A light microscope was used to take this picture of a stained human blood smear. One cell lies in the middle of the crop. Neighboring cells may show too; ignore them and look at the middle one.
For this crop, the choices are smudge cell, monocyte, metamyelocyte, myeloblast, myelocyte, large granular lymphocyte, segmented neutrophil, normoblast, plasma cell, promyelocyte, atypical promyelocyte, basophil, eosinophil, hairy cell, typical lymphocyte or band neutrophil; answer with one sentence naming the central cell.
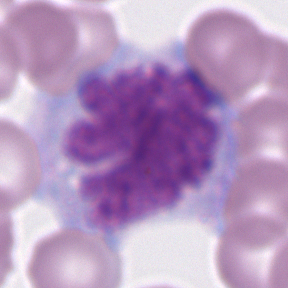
Seen at the centre of the crop is a monocyte.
